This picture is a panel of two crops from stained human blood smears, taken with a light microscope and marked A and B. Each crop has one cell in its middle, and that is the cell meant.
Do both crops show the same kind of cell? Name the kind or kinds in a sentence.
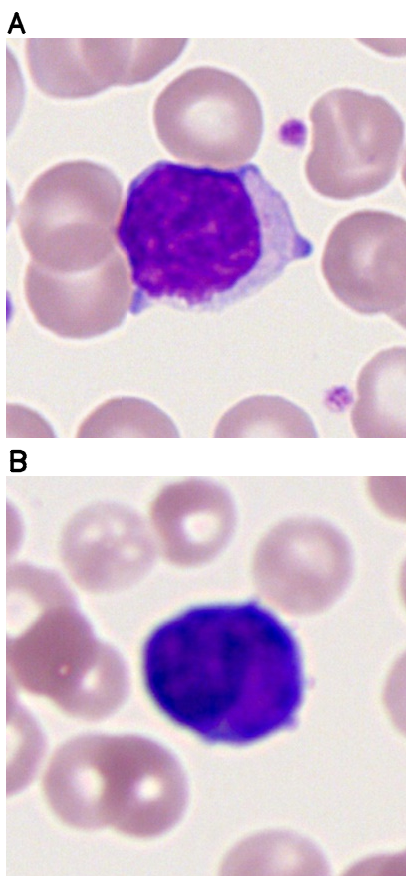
No, it is crop A that shows a lymphocyte, and crop B that shows a myeloblast.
